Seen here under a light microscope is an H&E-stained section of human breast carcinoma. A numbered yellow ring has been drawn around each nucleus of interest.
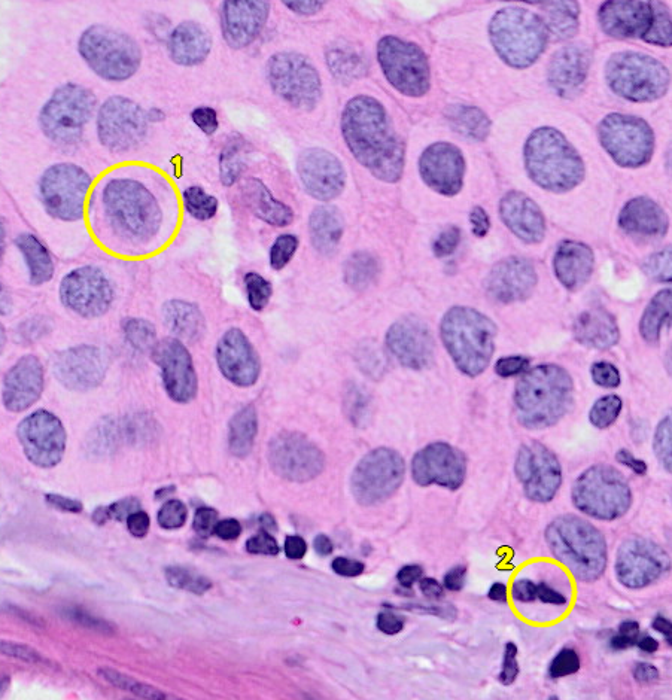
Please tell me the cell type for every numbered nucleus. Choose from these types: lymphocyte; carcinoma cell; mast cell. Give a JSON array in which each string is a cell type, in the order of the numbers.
["carcinoma cell", "lymphocyte"]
